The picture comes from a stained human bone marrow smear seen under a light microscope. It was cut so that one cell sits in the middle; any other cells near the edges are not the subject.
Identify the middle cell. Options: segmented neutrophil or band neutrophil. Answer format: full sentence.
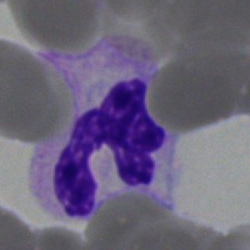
The centrally placed cell is classified as a segmented neutrophil.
